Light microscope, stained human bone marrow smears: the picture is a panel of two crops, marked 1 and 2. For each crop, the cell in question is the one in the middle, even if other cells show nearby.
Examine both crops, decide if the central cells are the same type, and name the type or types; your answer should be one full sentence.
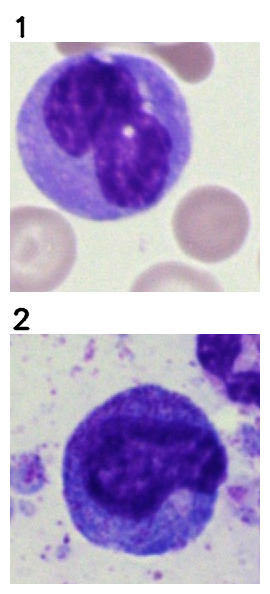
No, a monocyte is the subject of crop 1, and a promyelocyte is the subject of crop 2.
